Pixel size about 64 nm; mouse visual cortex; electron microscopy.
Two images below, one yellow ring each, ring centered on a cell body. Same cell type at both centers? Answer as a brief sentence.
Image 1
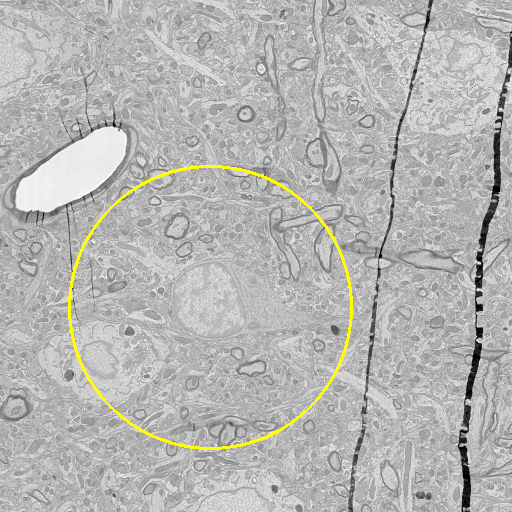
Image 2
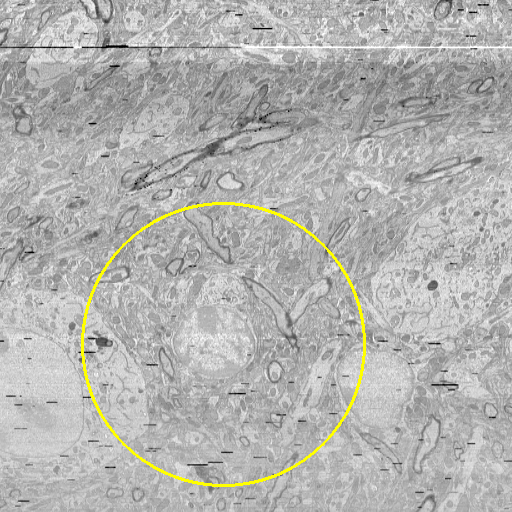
Yes, both cells are of the same type.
